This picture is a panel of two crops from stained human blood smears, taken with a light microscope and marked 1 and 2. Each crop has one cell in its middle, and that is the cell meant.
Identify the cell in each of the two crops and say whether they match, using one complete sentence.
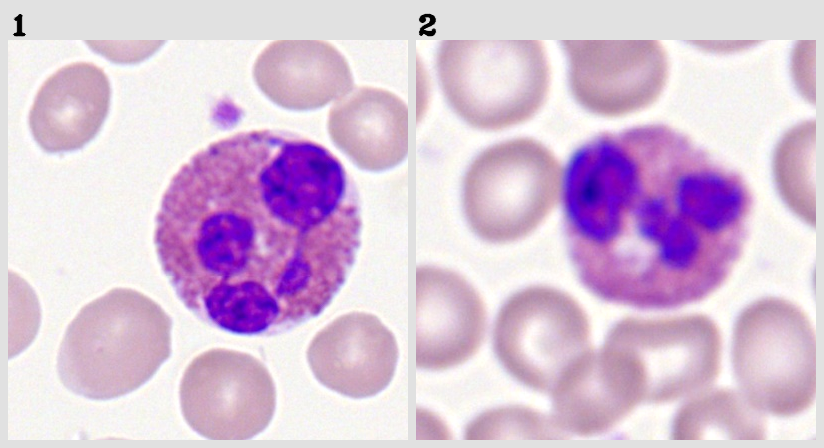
Yes, the two crops are alike in showing eosinophils.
